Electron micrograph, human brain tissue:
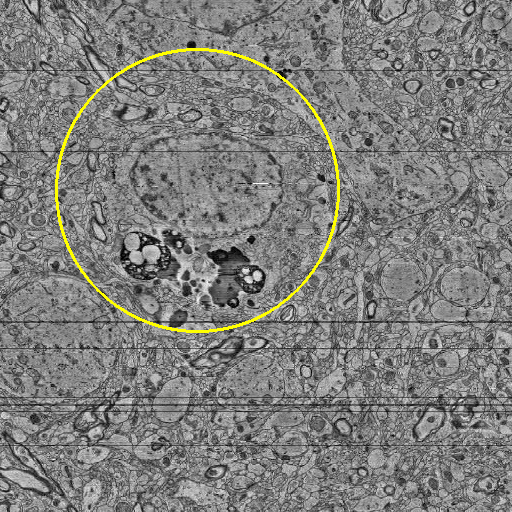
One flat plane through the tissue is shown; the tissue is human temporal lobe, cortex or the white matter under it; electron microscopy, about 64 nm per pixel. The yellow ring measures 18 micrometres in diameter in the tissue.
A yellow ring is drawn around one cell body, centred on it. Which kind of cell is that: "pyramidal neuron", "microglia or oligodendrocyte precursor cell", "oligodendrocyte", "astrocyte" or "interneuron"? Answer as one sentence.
It is an astrocyte at the centre of the ring.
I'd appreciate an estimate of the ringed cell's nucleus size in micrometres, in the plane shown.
The nucleus appears roughly 10 by 7 micrometres in this plane.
